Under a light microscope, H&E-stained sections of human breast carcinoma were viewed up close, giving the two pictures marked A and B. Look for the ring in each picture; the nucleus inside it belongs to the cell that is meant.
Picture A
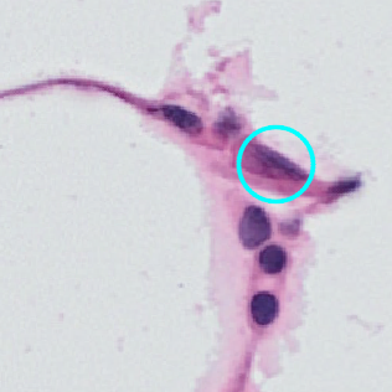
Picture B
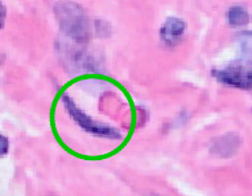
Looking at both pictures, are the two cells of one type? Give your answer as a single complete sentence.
Yes, both cells are endothelial cells.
